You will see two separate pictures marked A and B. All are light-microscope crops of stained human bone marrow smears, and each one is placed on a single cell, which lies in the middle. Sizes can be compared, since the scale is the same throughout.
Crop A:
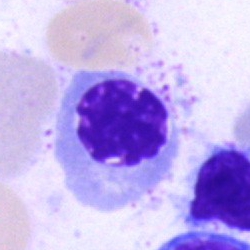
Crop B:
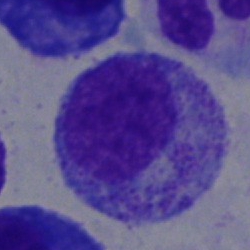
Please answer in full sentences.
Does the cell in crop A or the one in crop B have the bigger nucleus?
It is the nucleus in crop B, about 2 times as large in area as the one in crop A.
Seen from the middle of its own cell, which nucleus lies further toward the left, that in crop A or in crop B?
It is the nucleus in crop B that lies further toward the left of its cell.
